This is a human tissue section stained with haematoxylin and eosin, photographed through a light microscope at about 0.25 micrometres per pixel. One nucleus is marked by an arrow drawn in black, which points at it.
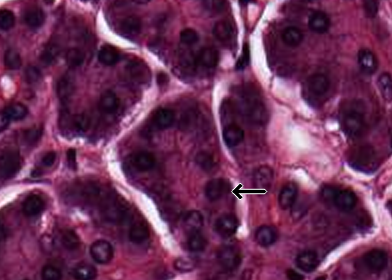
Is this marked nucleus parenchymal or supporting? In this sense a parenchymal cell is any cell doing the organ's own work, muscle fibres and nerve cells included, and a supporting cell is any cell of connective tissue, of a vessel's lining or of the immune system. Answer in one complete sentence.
The marked nucleus is carried by a parenchymal cell, namely a pancreatic acinar cell.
